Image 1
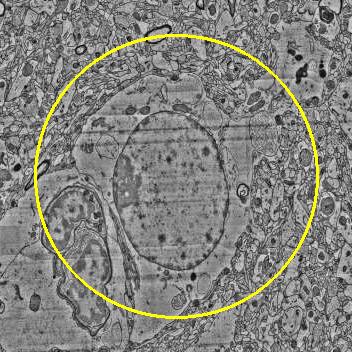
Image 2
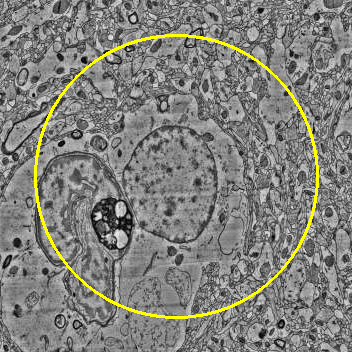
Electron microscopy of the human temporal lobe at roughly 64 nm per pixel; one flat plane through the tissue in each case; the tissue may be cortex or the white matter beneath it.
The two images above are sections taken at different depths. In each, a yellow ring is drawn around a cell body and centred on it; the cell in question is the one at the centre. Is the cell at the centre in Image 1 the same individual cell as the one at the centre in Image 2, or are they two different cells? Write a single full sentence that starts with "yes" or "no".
Yes, the two marked outlines come from one and the same cell.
